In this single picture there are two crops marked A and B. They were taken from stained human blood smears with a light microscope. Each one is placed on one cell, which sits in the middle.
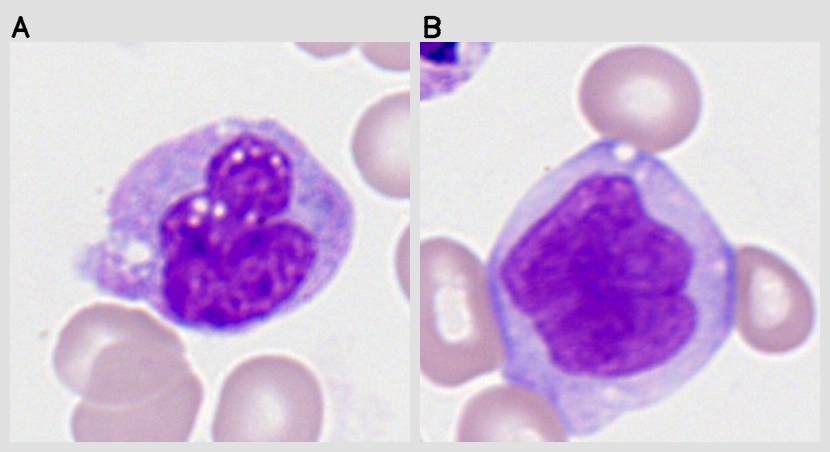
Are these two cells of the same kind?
yes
